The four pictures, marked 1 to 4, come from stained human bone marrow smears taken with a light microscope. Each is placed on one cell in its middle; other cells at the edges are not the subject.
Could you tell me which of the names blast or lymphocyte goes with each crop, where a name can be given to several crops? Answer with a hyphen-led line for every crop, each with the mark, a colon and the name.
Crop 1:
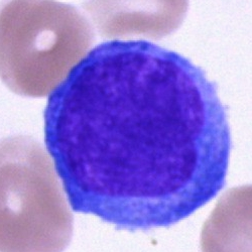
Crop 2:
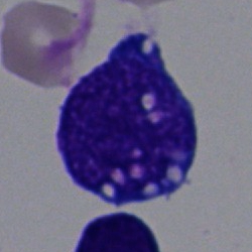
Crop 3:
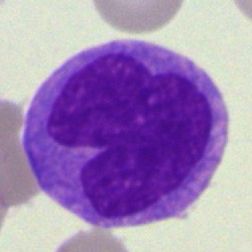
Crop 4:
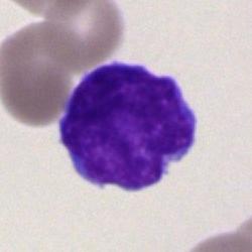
- 1: blast
- 2: blast
- 3: blast
- 4: lymphocyte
